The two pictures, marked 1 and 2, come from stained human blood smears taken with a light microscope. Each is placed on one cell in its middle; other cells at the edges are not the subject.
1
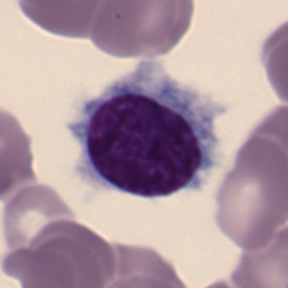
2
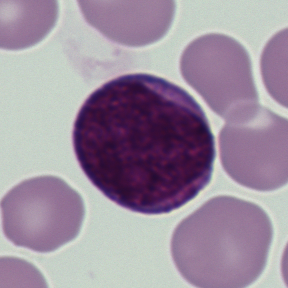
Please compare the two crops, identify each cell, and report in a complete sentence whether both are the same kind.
No, crop 1 is to be identified as a hairy cell and crop 2 as a myeloblast.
